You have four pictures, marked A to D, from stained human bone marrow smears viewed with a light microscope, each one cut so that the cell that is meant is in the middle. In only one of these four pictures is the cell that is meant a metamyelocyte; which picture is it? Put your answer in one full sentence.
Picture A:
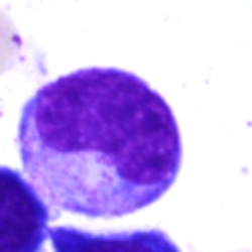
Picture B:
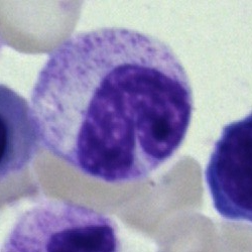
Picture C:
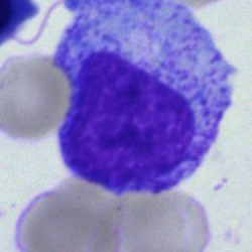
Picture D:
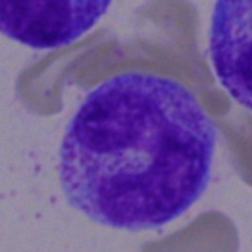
Picture A shows the metamyelocyte.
